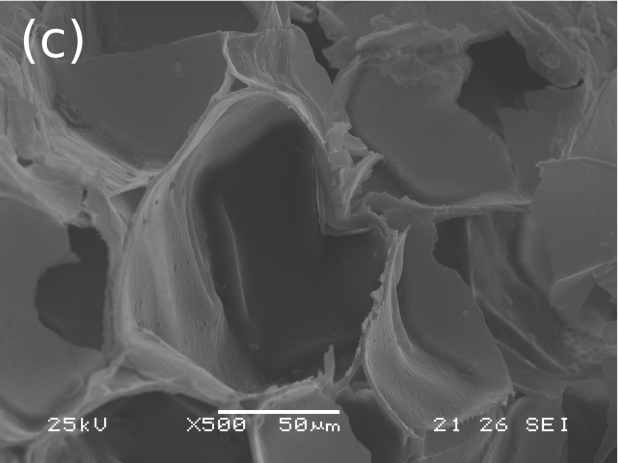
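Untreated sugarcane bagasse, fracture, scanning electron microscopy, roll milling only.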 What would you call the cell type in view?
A: parenchyma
